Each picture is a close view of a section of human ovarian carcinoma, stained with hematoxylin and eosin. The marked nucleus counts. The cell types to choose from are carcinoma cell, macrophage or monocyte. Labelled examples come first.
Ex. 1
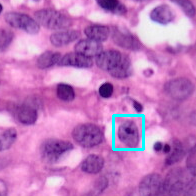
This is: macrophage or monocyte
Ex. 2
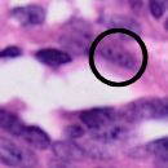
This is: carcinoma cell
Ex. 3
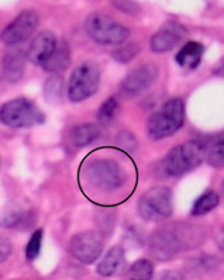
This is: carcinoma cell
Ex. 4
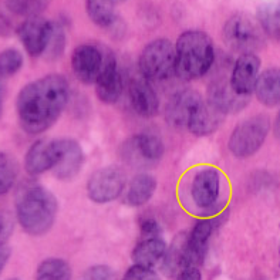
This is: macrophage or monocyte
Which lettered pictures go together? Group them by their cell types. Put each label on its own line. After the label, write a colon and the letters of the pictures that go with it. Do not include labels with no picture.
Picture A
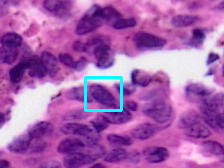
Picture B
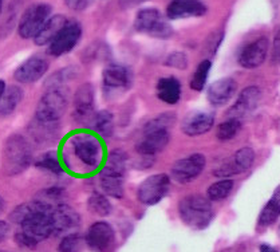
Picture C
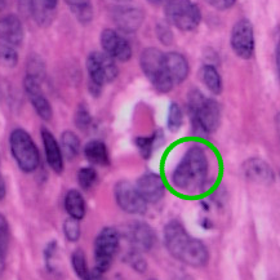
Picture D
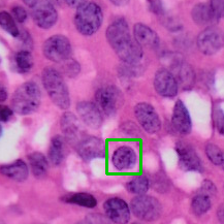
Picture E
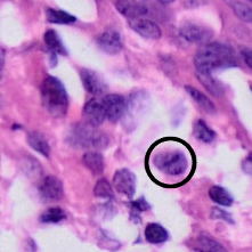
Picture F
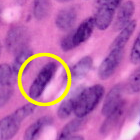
carcinoma cell: A, B, C, F
macrophage or monocyte: D, E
